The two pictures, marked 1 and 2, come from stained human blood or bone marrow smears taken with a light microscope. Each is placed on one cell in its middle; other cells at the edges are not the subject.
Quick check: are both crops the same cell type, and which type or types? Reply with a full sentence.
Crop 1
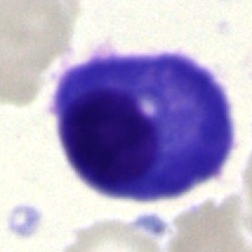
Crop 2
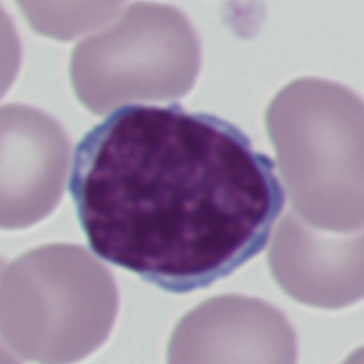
No, a plasma cell is in crop 1, while a lymphocyte is in crop 2.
